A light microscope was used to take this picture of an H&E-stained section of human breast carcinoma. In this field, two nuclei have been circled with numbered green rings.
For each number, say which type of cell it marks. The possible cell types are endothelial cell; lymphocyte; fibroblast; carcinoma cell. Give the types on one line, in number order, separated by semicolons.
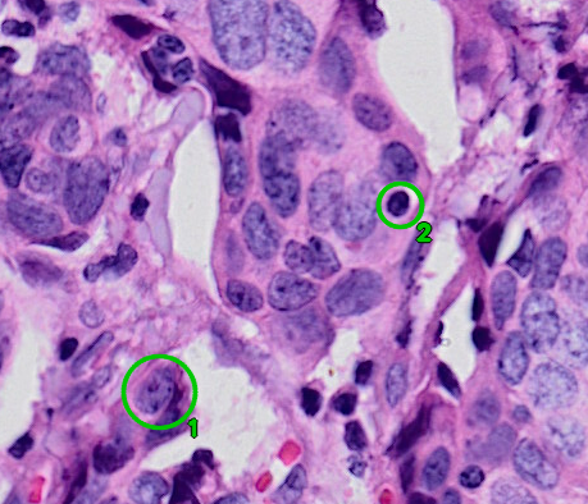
carcinoma cell; lymphocyte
